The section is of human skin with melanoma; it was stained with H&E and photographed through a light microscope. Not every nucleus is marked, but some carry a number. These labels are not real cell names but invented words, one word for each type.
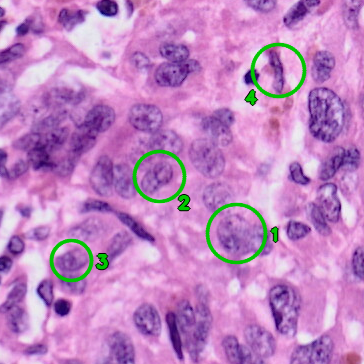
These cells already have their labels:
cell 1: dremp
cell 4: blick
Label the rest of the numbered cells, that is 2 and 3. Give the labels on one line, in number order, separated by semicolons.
dremp; dremp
